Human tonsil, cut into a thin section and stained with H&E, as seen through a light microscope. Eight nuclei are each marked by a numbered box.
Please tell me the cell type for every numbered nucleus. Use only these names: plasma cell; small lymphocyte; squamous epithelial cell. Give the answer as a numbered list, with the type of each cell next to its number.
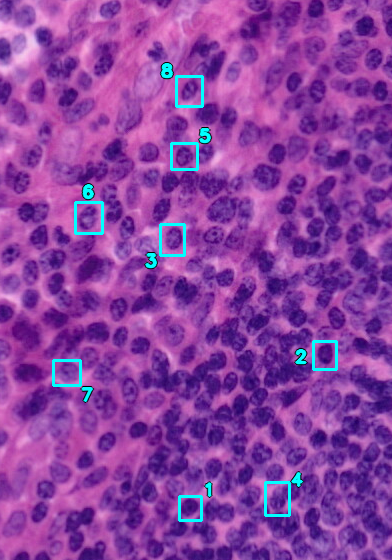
1. small lymphocyte
2. plasma cell
3. plasma cell
4. small lymphocyte
5. plasma cell
6. plasma cell
7. squamous epithelial cell
8. plasma cell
